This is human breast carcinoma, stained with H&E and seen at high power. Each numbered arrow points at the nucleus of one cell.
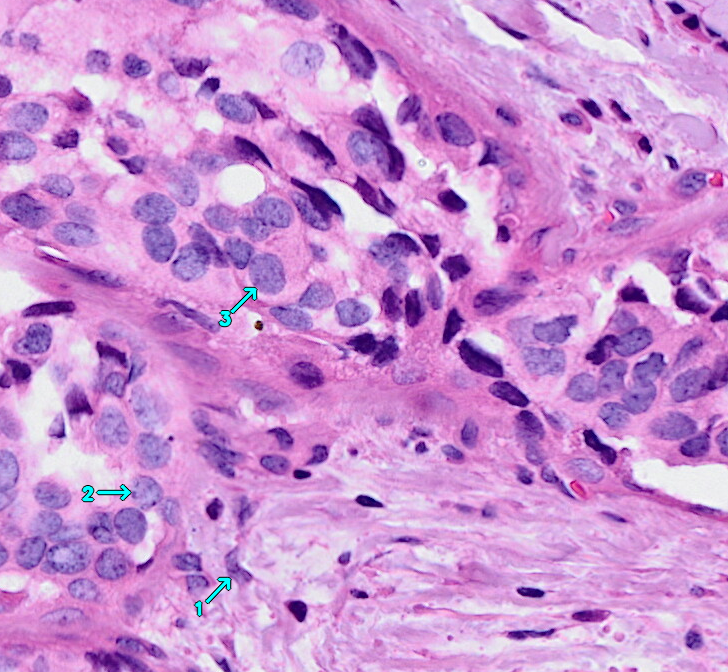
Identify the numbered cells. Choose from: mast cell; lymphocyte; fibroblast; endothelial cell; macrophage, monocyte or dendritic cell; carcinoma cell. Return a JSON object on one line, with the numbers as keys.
{"1": "fibroblast", "2": "carcinoma cell", "3": "carcinoma cell"}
